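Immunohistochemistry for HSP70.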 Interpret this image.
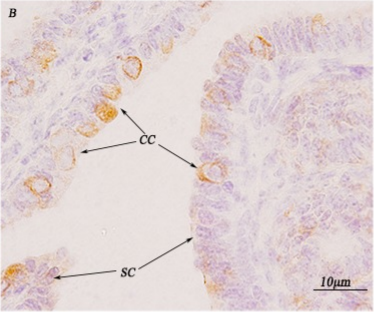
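Oviduct mucosal folds lined by simple columnar epithelium, high magnification. The epithelium is made of tall, closely set cells with oval, blue nuclei. Among them lie scattered rounded cells with brown-stained cytoplasm and a pale centre, sitting within the epithelial row. Most other epithelial cells are pale with only faint brown tint. Loose connective tissue with small nuclei fills the cores of the folds.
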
